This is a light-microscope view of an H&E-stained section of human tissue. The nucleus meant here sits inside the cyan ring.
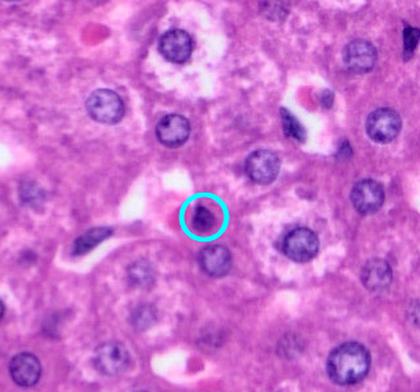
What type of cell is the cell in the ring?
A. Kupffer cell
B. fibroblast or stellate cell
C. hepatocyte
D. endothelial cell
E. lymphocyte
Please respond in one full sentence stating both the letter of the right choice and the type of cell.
Since the cell in the ring is a fibroblast or stellate cell, the right option is B.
